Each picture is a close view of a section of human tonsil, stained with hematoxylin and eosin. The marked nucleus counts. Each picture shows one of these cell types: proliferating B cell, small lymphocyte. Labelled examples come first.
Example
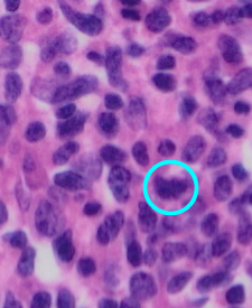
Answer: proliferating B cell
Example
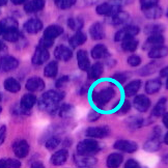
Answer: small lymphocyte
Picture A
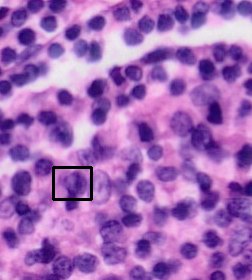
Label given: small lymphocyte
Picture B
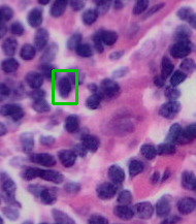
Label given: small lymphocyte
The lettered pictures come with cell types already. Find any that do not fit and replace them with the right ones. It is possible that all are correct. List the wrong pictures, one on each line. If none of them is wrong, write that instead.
A: change small lymphocyte to proliferating B cell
